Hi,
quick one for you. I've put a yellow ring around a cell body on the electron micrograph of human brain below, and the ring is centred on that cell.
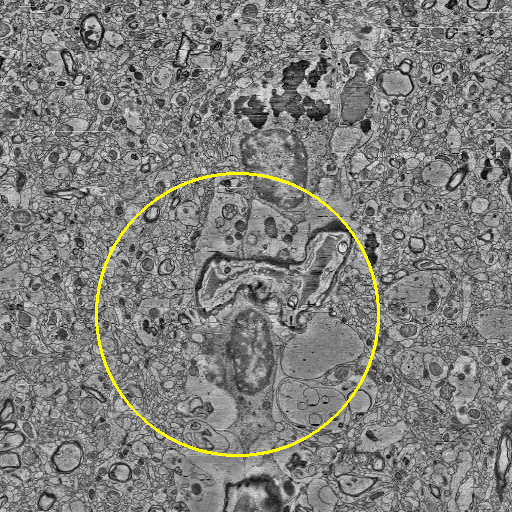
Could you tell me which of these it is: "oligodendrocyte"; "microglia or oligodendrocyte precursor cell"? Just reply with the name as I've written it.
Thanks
oligodendrocyte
